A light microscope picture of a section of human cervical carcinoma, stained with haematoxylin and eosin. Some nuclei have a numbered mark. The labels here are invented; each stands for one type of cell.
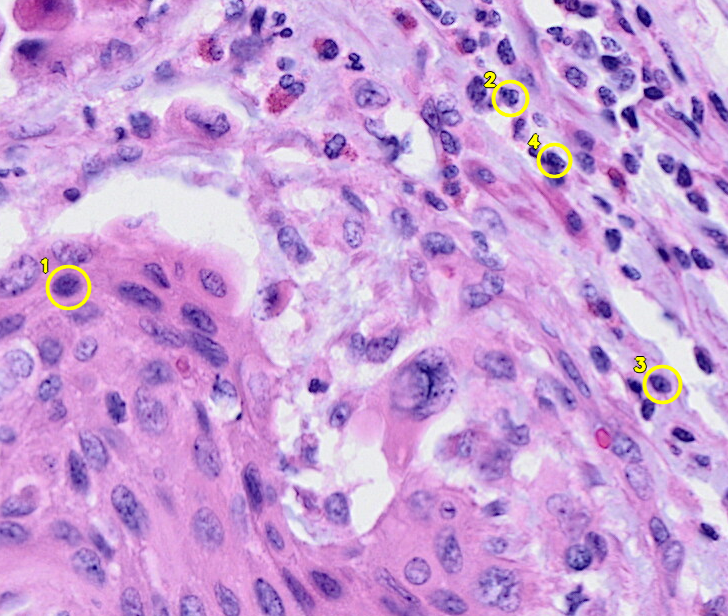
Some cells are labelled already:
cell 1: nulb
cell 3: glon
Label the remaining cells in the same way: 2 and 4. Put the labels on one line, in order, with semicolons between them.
glon; glon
